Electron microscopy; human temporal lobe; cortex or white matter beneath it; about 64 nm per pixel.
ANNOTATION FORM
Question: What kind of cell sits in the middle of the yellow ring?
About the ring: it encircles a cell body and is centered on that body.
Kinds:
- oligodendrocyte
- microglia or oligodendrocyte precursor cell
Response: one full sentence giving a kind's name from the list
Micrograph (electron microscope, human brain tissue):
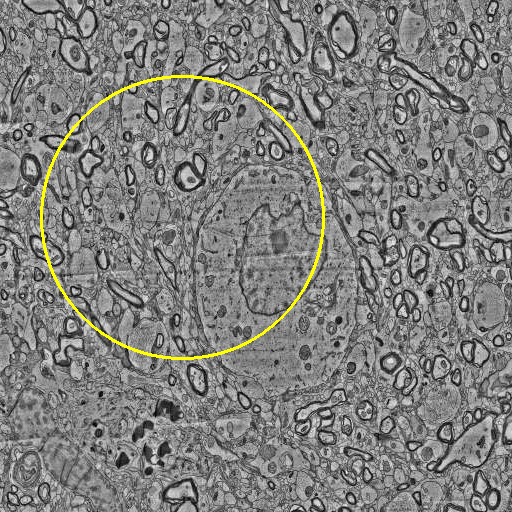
The kind of cell found at the center of the yellow ring in the micrograph is a microglial cell or oligodendrocyte precursor cell.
